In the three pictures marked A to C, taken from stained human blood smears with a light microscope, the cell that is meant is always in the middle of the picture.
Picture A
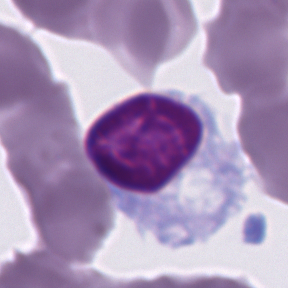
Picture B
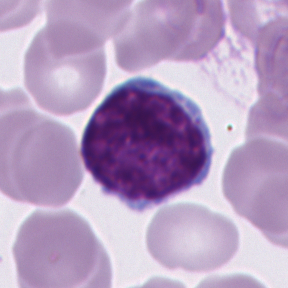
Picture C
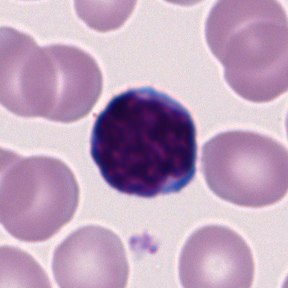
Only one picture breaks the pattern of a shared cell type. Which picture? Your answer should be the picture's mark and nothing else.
A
